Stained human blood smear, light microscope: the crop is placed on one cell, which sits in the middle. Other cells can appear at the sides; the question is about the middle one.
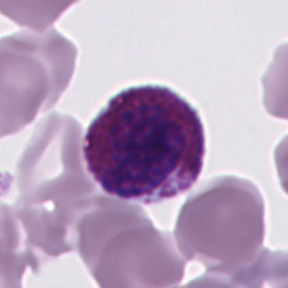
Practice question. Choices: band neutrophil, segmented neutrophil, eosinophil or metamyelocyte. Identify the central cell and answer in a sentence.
Of the cells in this crop, the central one is an eosinophil.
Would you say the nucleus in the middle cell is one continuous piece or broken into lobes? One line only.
Between us, the nucleus here is just one compact mass, round, oval or kidney-shaped.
